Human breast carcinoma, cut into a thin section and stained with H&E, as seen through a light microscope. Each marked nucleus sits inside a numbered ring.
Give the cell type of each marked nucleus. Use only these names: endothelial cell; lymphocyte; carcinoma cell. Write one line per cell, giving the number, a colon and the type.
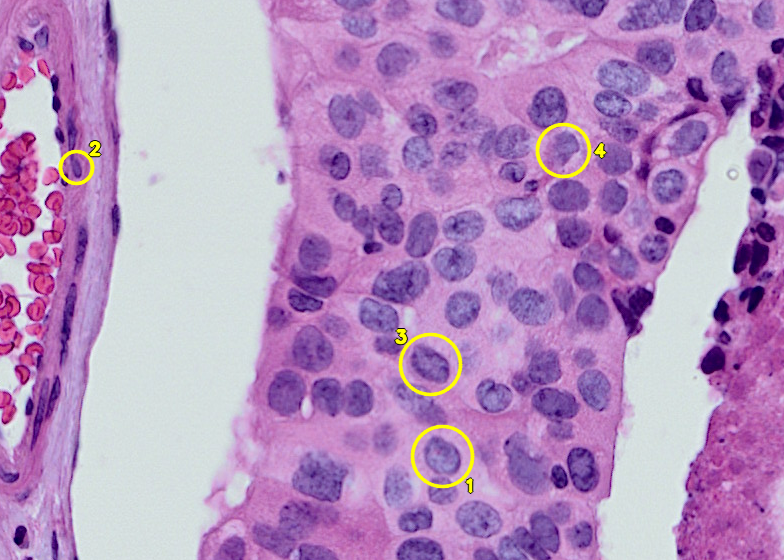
1: carcinoma cell
2: endothelial cell
3: carcinoma cell
4: carcinoma cell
